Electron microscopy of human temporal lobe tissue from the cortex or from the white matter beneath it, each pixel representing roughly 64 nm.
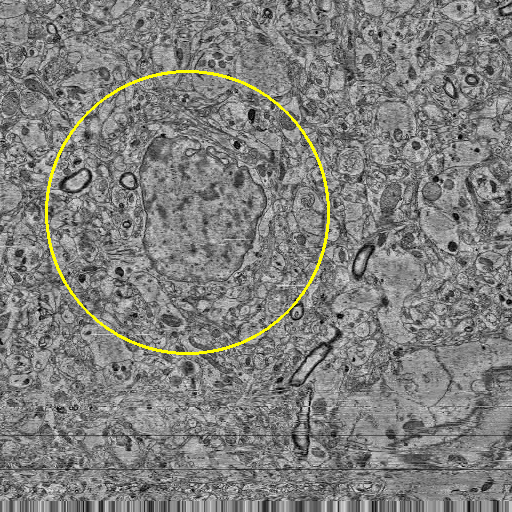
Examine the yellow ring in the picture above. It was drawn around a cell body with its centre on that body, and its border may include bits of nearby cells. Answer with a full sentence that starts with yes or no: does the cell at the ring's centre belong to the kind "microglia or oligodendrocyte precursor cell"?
Yes, the cell at the heart of the ring shown in the image is of that kind.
